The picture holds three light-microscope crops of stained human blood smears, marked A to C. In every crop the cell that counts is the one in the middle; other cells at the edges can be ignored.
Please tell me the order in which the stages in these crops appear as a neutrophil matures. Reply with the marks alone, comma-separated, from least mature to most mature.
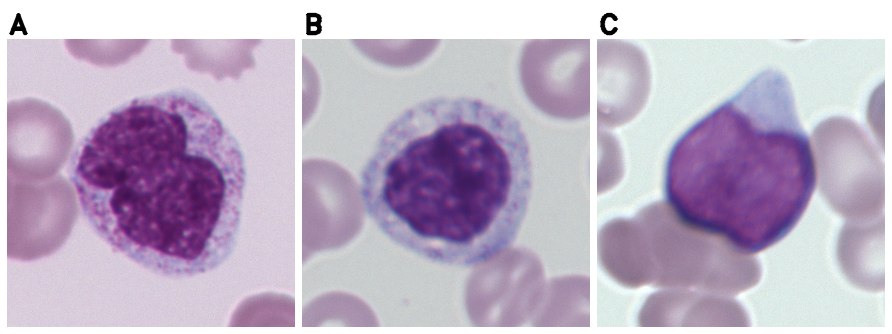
C, B, A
